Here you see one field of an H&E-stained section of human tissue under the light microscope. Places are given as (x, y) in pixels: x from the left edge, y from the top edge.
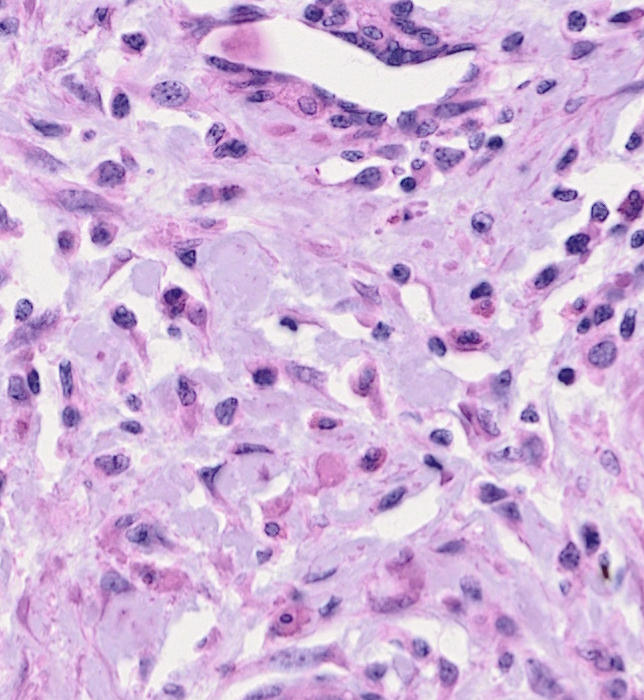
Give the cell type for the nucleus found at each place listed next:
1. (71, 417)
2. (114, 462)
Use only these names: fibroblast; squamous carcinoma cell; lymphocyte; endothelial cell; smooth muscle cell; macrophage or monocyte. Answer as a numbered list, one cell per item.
1. lymphocyte
2. macrophage or monocyte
